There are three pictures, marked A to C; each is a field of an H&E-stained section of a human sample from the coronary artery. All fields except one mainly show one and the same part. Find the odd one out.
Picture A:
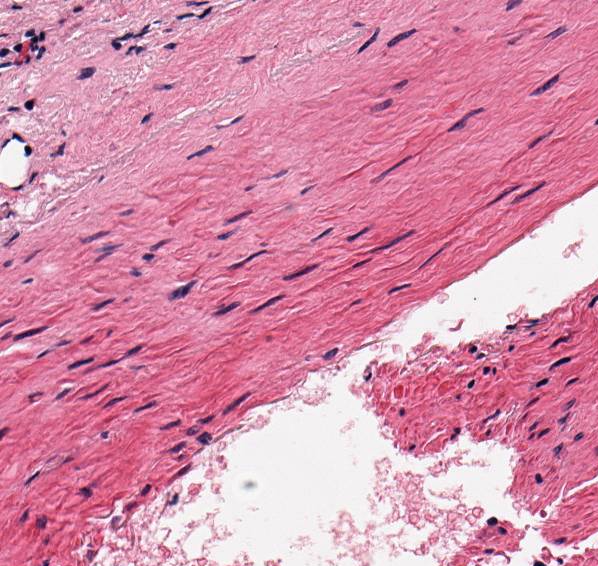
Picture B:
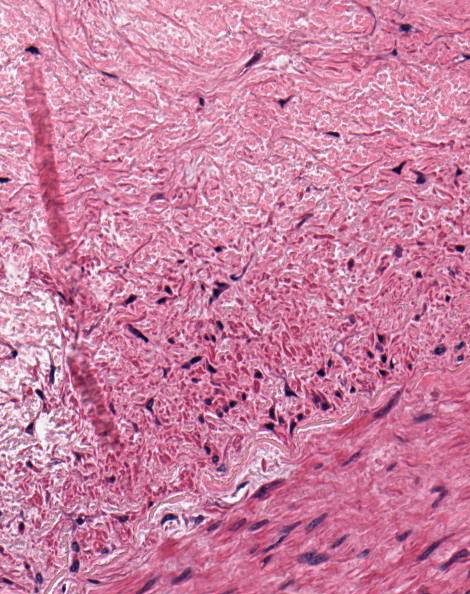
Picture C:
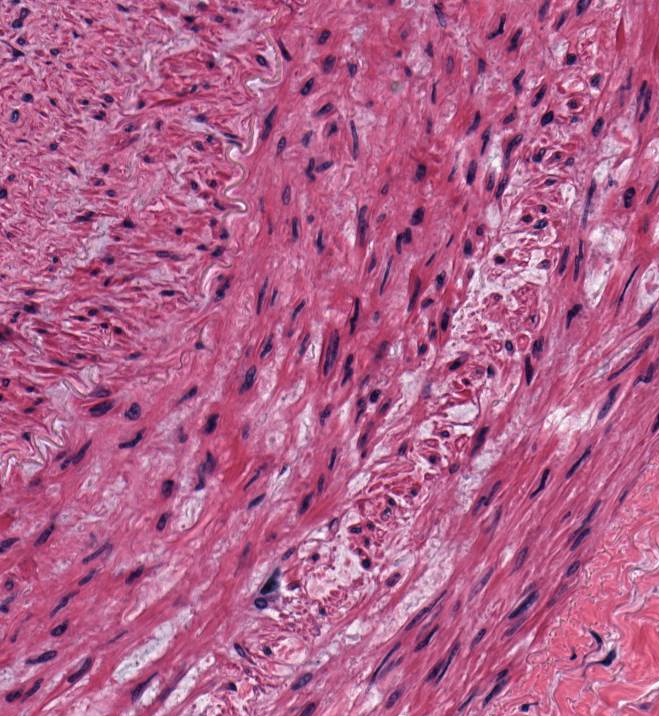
B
